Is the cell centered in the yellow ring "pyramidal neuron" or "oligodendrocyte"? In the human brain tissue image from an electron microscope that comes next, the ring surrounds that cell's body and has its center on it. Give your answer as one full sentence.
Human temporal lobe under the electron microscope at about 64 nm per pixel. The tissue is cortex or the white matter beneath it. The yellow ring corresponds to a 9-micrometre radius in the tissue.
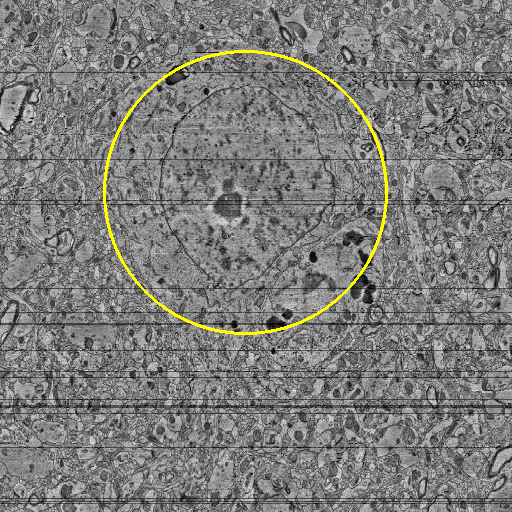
The cell at the center of the yellow ring is a pyramidal neuron in the micrograph.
